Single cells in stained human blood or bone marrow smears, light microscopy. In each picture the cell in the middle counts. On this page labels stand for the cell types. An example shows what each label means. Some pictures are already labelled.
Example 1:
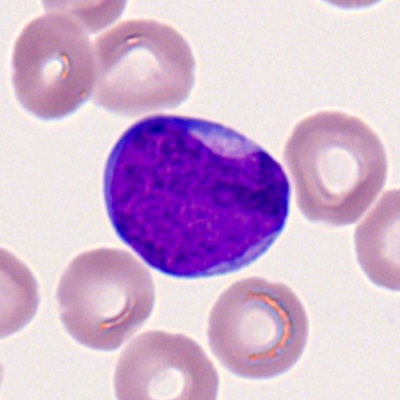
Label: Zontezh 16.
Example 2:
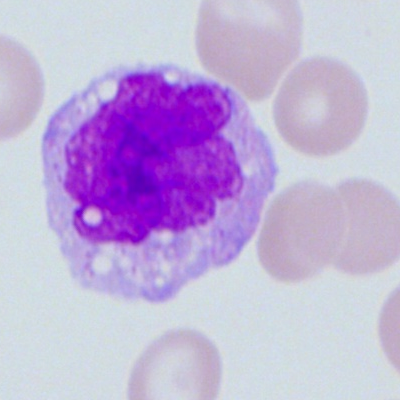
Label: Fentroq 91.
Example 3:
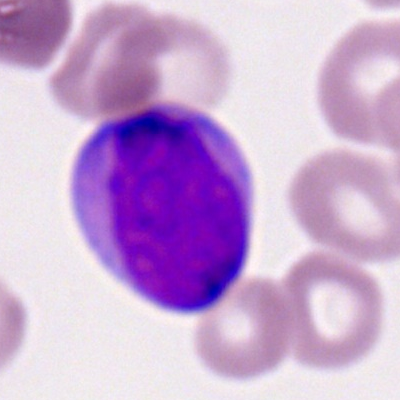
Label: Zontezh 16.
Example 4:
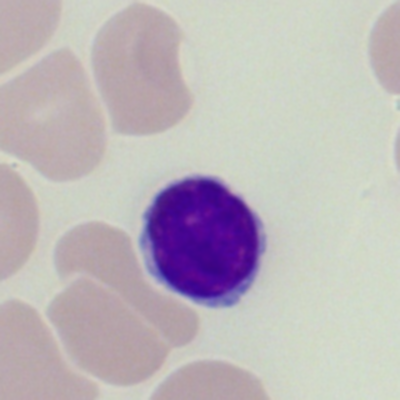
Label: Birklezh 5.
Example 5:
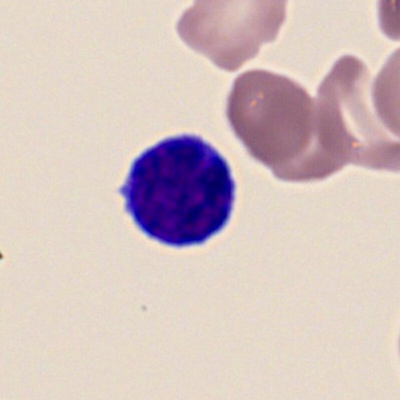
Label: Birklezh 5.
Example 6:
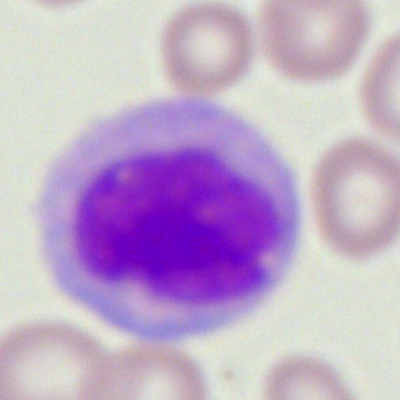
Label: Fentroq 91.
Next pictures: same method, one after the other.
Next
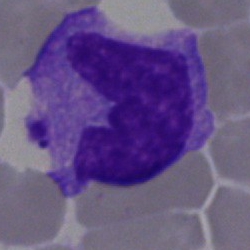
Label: Fentroq 91.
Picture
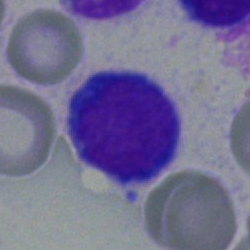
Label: Birklezh 5.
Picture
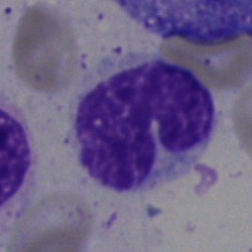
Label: Fentroq 91.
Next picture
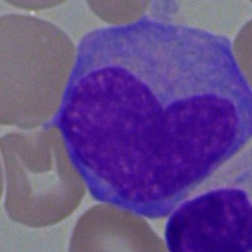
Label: Fentroq 91.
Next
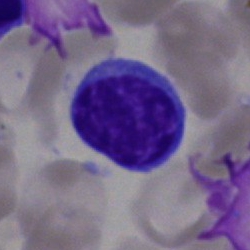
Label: Birklezh 5.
